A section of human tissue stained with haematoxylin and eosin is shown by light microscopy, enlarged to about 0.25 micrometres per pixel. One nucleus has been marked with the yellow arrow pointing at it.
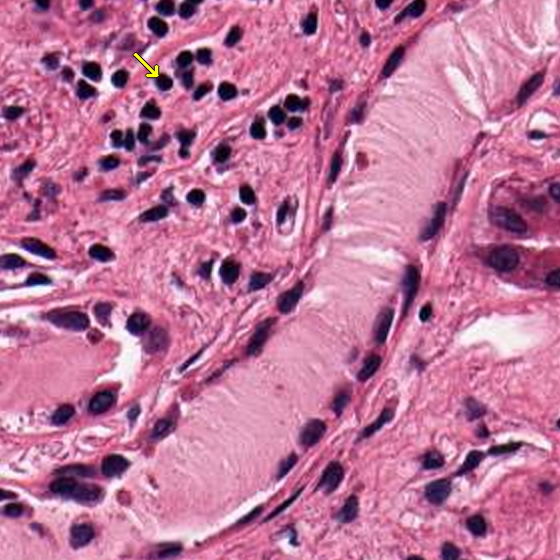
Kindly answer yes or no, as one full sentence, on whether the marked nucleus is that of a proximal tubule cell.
No, the marked nucleus is not the nucleus of a proximal tubule cell but of a supporting cell.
